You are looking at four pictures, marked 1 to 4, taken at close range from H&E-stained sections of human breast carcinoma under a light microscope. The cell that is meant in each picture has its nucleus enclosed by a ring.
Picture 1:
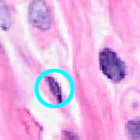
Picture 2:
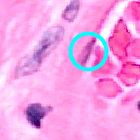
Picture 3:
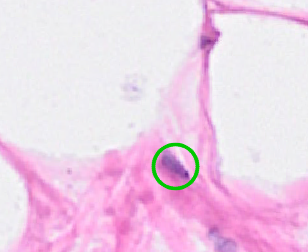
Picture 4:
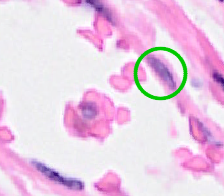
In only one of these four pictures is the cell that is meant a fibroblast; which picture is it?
3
